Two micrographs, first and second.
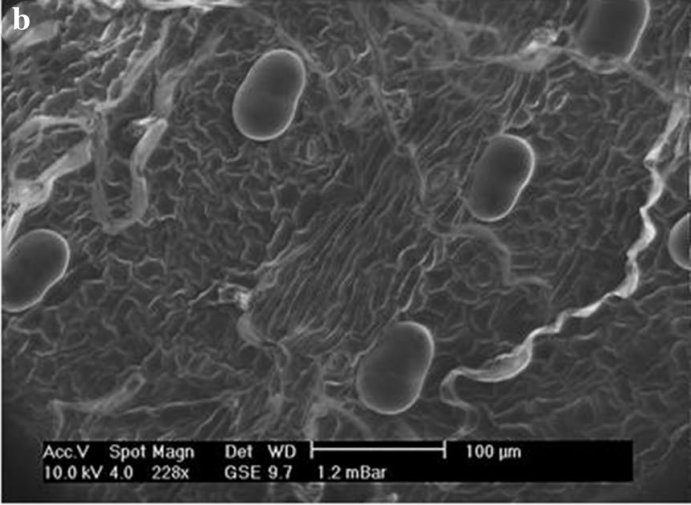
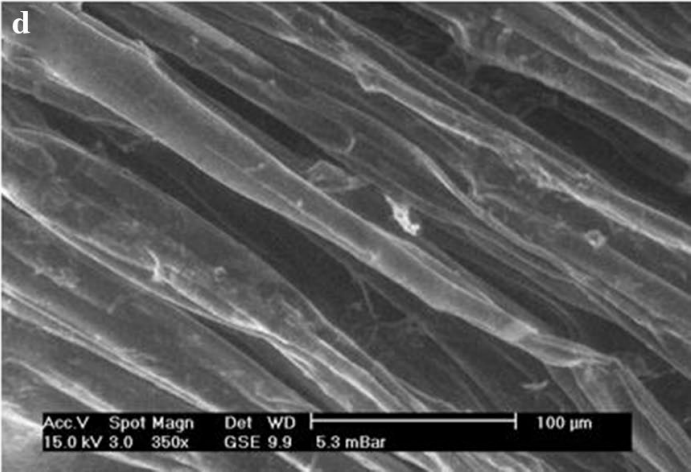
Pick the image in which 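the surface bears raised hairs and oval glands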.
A: the first image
